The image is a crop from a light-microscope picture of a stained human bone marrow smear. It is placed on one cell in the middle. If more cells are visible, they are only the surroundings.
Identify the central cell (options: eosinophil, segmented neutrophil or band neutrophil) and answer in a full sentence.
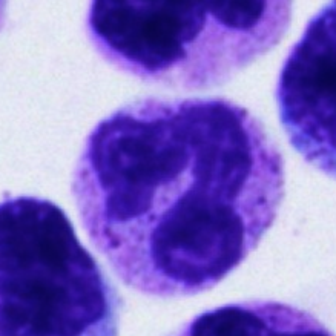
In this crop, the cell at the very middle is a segmented neutrophil.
